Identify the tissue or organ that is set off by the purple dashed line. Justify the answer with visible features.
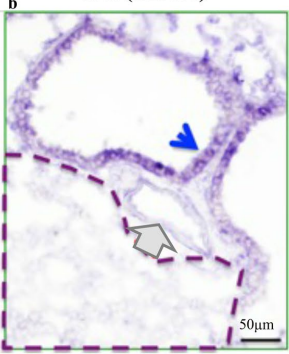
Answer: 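The outlined area holds pale, lace-like thin-walled tissue with many small air spaces. The tissue inside the outline is much paler than the lining of the large lumen above.
Conclusion: alveoli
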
